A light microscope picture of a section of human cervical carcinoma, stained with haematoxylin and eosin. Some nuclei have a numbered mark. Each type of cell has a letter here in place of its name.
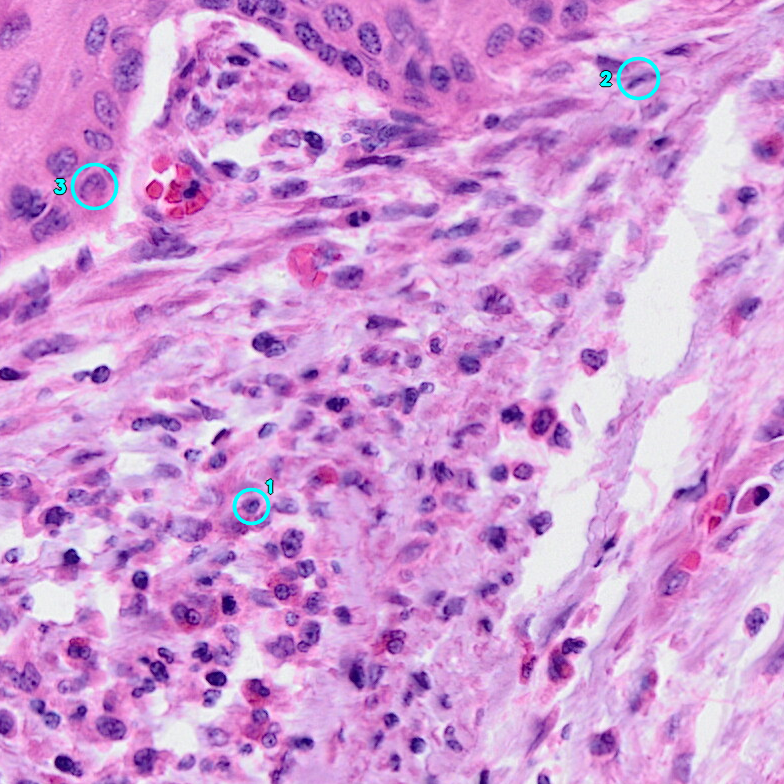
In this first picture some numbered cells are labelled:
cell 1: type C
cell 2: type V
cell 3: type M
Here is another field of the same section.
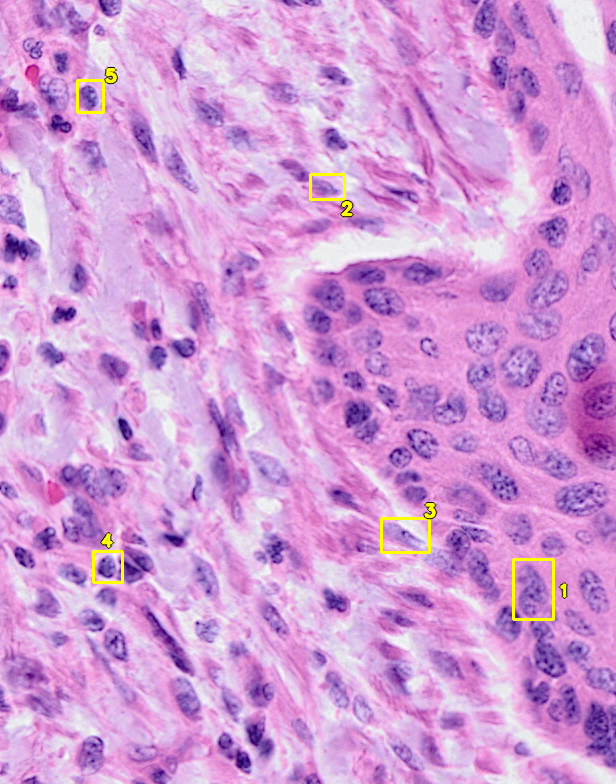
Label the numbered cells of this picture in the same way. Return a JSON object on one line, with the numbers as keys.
{"1": "type M", "2": "type V", "3": "type V", "4": "type C", "5": "type C"}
